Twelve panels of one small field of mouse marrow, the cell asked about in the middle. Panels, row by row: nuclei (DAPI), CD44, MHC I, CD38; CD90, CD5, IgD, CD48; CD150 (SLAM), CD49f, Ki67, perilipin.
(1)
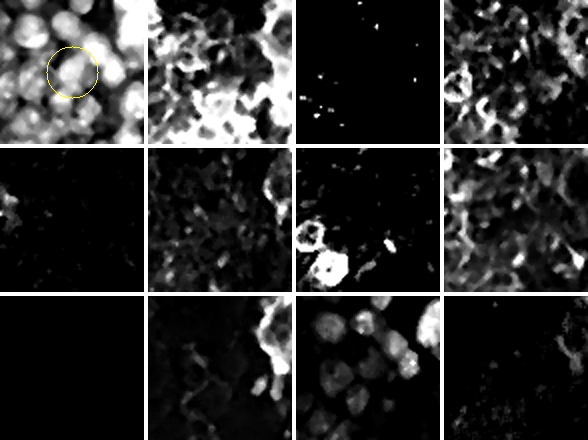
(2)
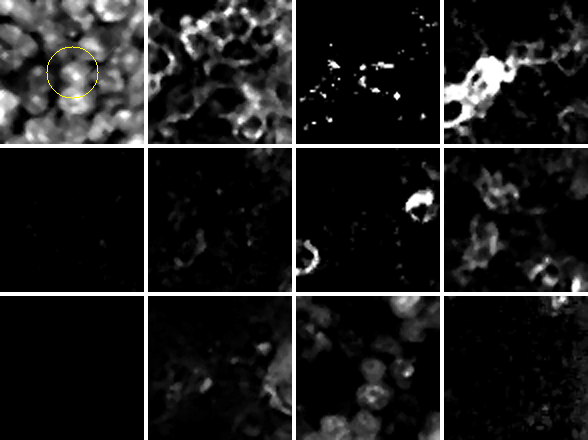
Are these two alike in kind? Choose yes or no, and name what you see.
No. First an erythroblast, second a capillary endothelial cell.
